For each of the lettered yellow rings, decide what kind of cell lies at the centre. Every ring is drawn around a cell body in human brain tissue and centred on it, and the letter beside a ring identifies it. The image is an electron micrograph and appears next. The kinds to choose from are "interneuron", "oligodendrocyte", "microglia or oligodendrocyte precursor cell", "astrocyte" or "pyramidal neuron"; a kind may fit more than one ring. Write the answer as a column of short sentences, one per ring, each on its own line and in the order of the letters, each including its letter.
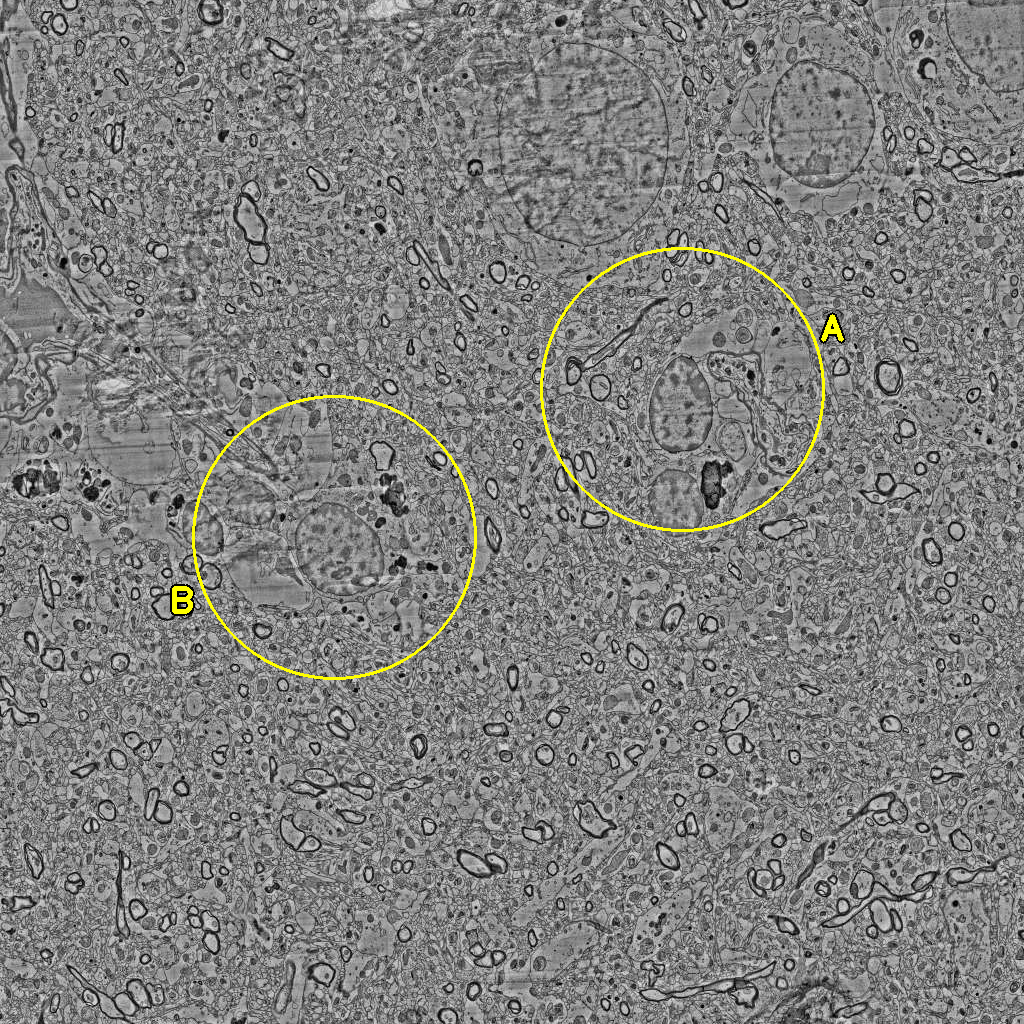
In the centre of ring A lies a microglial cell or oligodendrocyte precursor cell.
In the centre of ring B lies an oligodendrocyte.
